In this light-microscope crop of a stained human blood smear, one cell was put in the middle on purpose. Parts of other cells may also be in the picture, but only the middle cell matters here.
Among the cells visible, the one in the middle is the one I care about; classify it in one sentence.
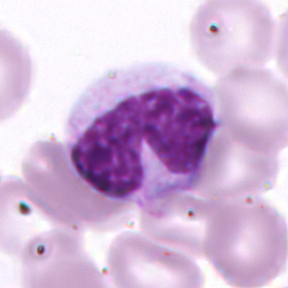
The cell of interest, in the center, is a band neutrophil.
